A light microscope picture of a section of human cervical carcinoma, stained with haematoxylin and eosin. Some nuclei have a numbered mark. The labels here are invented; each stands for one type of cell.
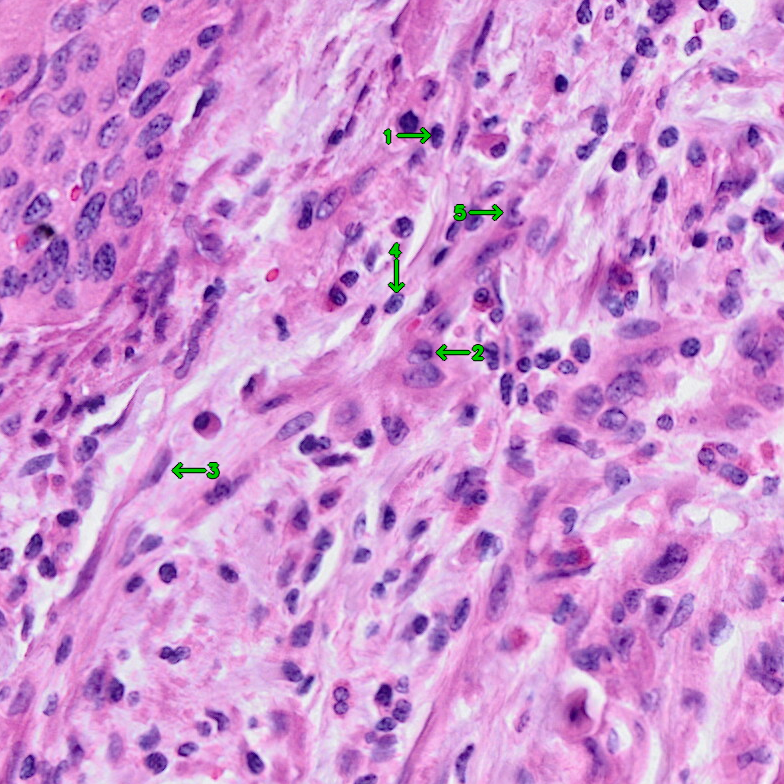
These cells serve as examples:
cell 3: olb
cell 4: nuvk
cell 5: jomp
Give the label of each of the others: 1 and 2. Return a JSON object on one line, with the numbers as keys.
{"1": "nuvk", "2": "jomp"}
